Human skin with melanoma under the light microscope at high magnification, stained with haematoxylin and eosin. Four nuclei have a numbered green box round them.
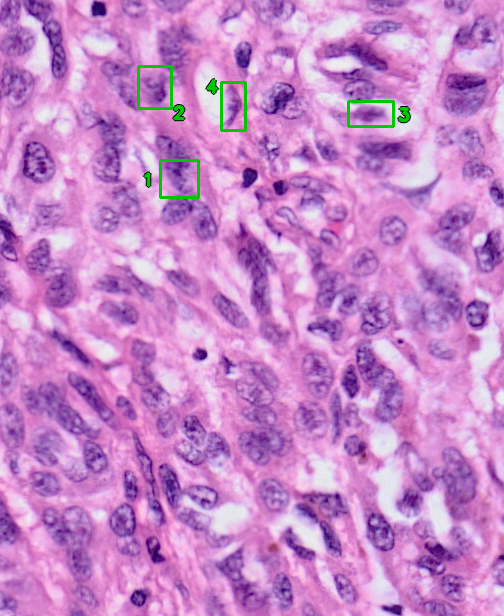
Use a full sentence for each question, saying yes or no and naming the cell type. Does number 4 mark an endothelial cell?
Yes, it is an endothelial cell that carries the number 4.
